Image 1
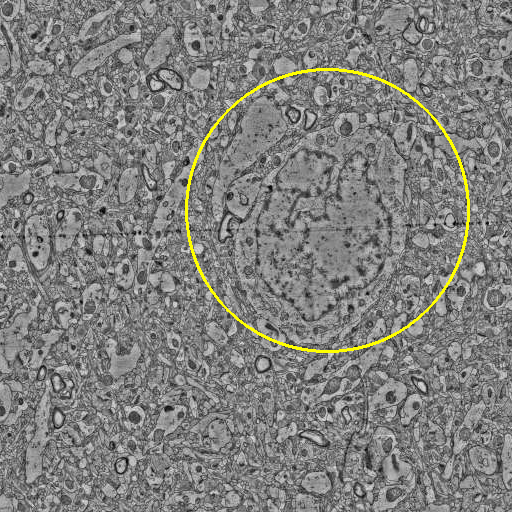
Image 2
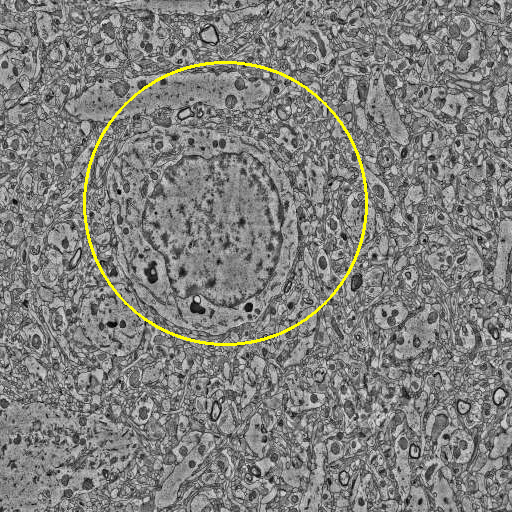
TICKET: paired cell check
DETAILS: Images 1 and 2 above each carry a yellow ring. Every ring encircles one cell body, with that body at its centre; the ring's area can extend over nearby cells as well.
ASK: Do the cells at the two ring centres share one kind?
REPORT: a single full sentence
Yes, the ring-centre cells of Images 1 and 2 belong to a single kind.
